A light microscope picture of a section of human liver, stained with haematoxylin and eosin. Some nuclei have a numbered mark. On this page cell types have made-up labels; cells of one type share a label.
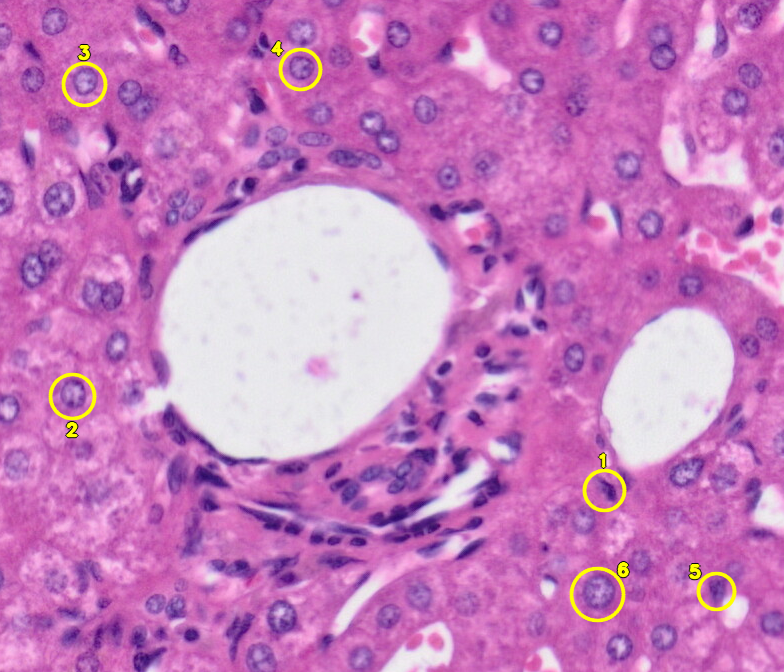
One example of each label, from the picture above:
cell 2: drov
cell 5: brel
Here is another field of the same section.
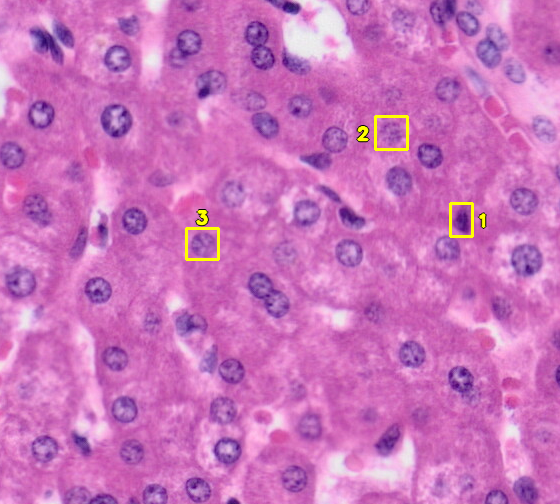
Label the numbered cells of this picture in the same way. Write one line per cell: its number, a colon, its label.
1: brel
2: drov
3: drov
